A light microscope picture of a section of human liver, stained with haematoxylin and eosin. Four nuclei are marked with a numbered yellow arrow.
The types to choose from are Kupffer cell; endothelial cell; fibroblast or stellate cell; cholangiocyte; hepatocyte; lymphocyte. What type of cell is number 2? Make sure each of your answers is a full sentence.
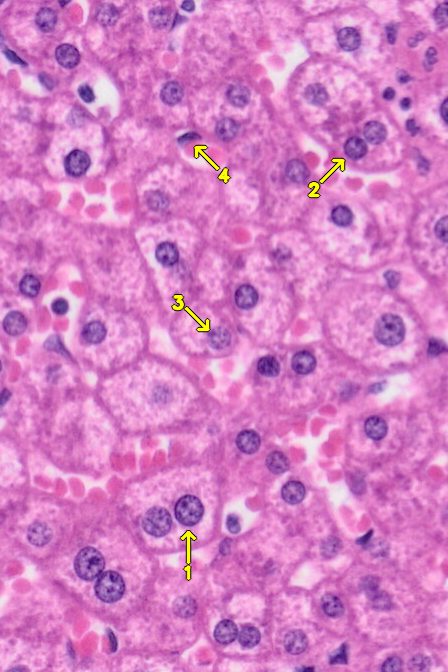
Denoted by the label 2 in the section is a hepatocyte.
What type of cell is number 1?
The cell pointed out as number 1 is a hepatocyte.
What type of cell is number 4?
Belonging to an endothelial cell is the nucleus that carries the number 4.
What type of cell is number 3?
The cell indicated with the number 3 is classed as a hepatocyte.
